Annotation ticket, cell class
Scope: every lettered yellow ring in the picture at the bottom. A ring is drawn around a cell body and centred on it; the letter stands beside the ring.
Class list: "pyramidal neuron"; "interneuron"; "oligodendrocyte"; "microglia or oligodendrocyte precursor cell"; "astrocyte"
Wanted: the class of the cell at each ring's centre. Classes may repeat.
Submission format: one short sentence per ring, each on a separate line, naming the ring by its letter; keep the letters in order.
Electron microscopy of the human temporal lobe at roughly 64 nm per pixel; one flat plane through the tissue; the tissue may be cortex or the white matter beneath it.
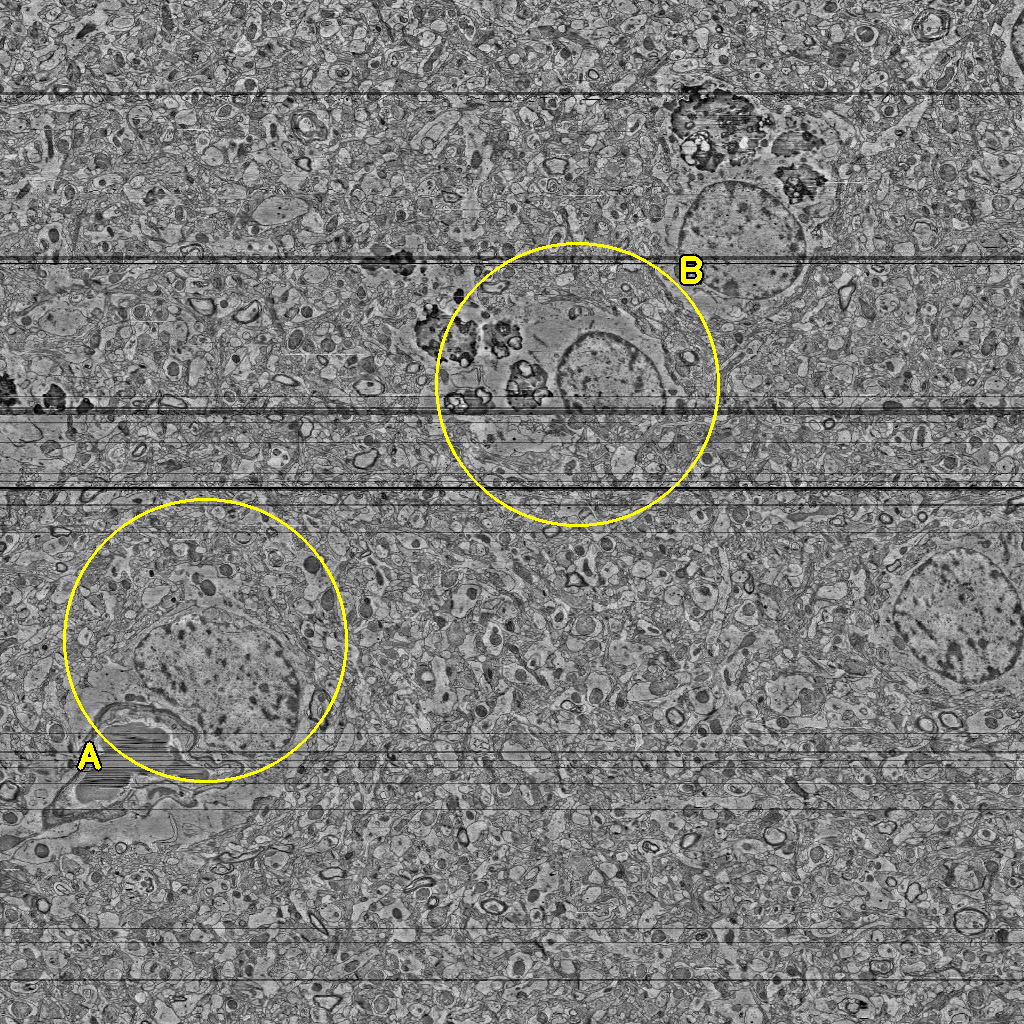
The centre of ring A is occupied by a microglial cell or oligodendrocyte precursor cell.
The centre of ring B is occupied by an astrocyte.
